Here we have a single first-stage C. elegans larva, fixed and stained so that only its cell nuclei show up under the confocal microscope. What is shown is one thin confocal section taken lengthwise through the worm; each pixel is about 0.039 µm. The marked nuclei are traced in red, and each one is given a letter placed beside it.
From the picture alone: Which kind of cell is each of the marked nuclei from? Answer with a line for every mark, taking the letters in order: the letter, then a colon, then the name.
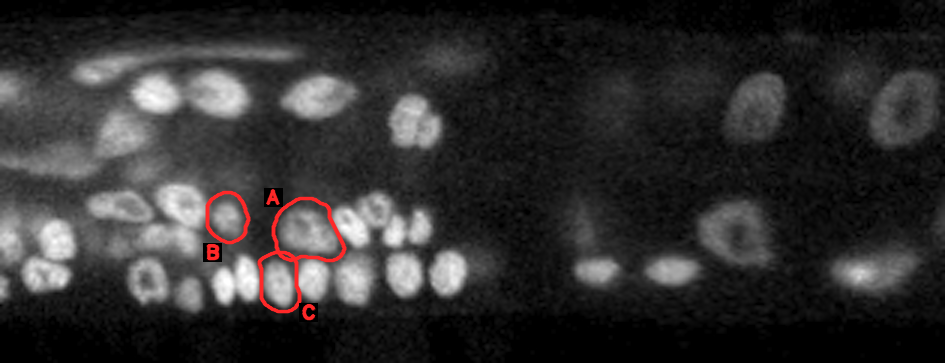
A: pharyngeal marginal cell
B: neuron
C: neuron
